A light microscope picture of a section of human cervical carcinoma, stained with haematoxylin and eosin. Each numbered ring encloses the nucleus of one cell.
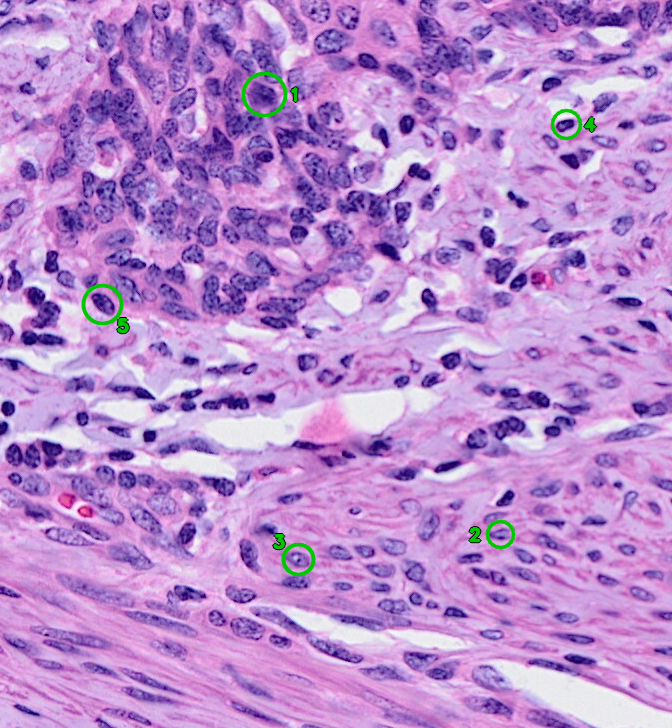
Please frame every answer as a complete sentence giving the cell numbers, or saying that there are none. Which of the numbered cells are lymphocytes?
In this section, the cells numbered 4 and 5 are lymphocytes.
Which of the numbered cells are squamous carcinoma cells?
Cell 1 is a squamous carcinoma cell and is the only numbered cell of that kind.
